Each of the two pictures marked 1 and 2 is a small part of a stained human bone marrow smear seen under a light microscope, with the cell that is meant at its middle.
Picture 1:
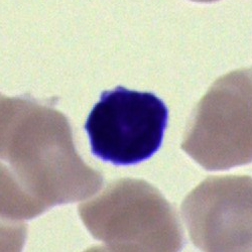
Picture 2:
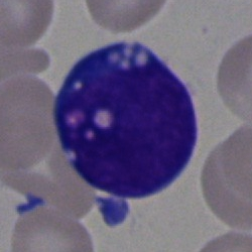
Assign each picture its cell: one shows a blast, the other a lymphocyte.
1: lymphocyte
2: blast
